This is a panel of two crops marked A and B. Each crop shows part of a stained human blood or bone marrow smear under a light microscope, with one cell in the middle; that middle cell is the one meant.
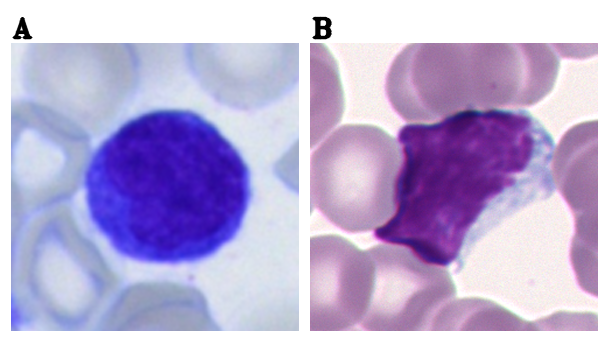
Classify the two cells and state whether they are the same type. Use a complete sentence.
Yes, both crops show lymphocytes as their central cells.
